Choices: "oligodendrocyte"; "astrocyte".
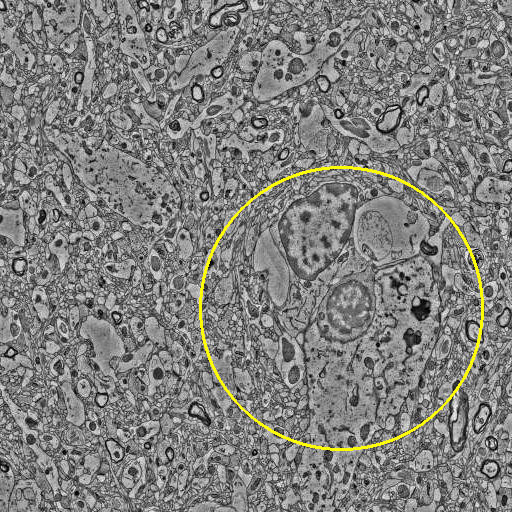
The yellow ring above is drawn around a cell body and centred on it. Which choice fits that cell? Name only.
oligodendrocyte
